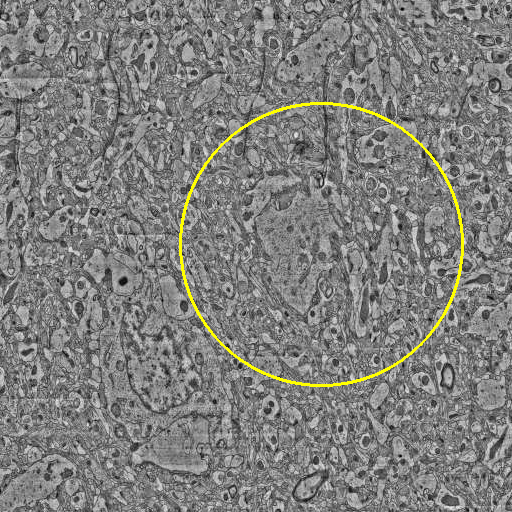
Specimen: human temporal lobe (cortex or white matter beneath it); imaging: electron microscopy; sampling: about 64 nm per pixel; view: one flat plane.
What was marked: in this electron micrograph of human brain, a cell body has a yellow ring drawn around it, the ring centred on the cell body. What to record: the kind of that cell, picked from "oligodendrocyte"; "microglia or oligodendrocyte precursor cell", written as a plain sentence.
The centred cell is a microglial cell or oligodendrocyte precursor cell.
